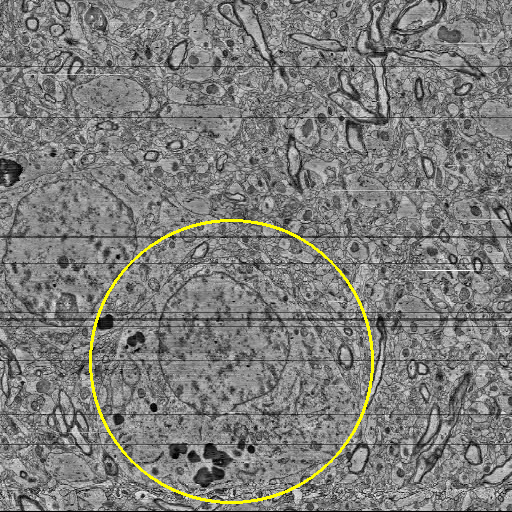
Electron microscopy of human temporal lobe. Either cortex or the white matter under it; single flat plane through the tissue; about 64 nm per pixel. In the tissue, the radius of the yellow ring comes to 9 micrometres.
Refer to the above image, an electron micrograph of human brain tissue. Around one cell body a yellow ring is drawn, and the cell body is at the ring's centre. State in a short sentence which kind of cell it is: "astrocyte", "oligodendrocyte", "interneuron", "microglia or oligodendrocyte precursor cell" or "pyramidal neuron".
The centre of the ring falls on a pyramidal neuron.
